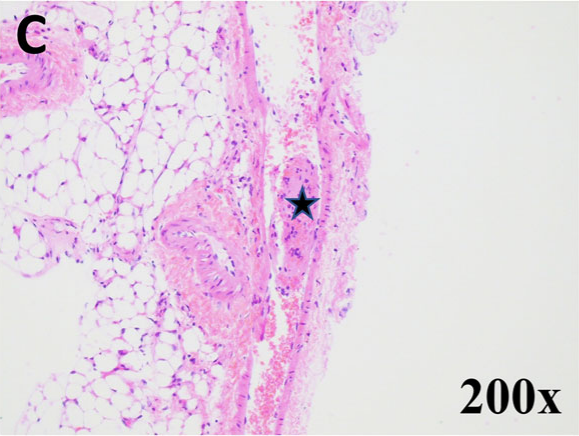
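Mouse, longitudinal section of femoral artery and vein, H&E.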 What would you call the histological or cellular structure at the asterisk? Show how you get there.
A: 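A small pink mass with scattered nuclei lies within a vessel lumen. The mass does not fill the whole lumen.
Answer: partially occlusive thrombus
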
